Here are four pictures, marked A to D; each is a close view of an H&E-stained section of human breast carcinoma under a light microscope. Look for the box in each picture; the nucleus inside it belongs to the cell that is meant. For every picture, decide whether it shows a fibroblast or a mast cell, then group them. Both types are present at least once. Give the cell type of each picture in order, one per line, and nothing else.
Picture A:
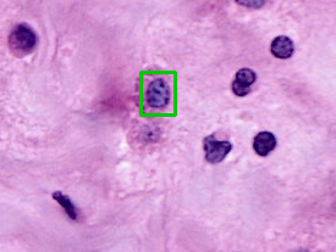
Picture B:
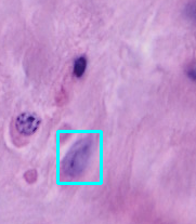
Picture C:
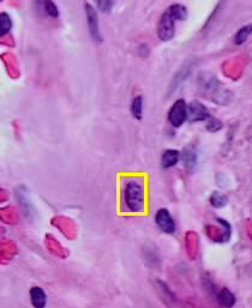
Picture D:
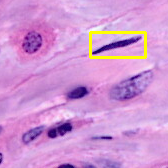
mast cell
fibroblast
mast cell
fibroblast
